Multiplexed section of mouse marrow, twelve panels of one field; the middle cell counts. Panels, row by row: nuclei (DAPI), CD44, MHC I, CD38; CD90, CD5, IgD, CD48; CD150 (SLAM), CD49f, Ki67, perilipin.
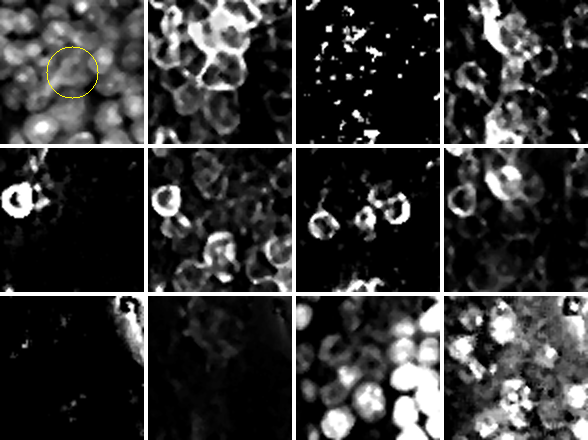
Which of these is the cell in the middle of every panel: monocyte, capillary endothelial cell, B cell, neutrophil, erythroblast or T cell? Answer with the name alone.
B cell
